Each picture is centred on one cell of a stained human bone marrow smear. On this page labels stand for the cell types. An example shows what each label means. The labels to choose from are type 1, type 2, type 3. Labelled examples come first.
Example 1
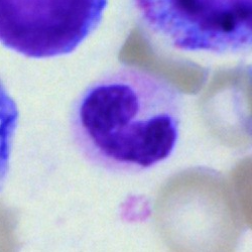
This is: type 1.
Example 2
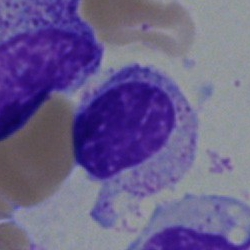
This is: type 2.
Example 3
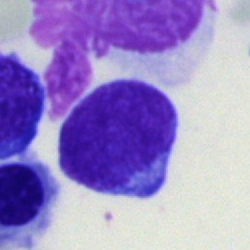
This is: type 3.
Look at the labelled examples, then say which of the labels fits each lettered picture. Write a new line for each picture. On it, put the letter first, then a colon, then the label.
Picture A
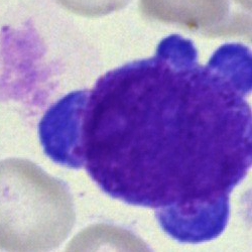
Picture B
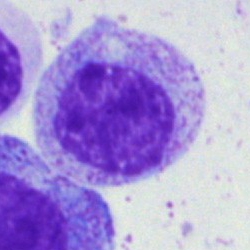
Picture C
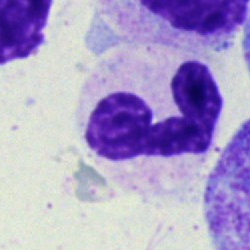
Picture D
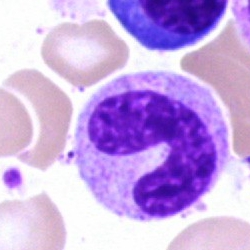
A: type 3.
B: type 2.
C: type 1.
D: type 1.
